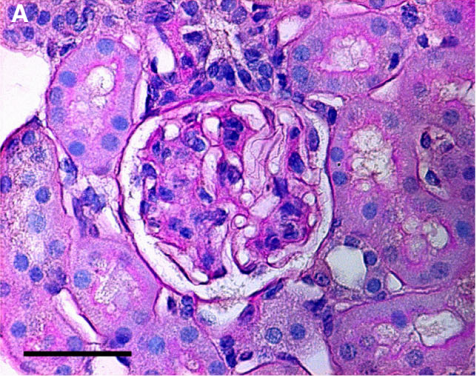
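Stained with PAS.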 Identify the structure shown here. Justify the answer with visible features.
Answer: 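A round tuft of capillary loops and nuclei sits in the middle of the panel. A thin clear space and capsule line surround the tuft. Cut tubules with cuboidal epithelium surround it.
Conclusion: glomeruli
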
